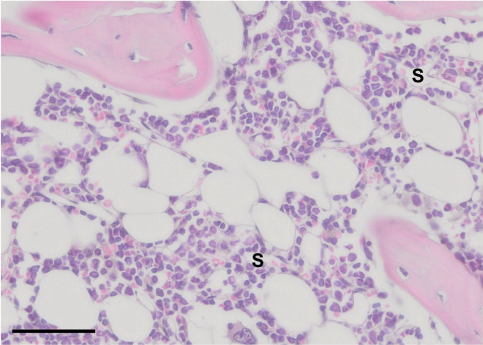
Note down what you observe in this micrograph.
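This section of bone marrow shows haematopoietic cells interspersed with many large, empty, rounded spaces of fat cells. Pink-stained bony trabeculae lie at the top left and right edges. The haematopoietic cells are small and round with dark purple nuclei and form thinner cords between the fat spaces than in a densely cellular marrow. Sinusoids appear as narrow clear channels, a few containing red blood cells. Overall the tissue looks less cellular, with fat occupying much of the field.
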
